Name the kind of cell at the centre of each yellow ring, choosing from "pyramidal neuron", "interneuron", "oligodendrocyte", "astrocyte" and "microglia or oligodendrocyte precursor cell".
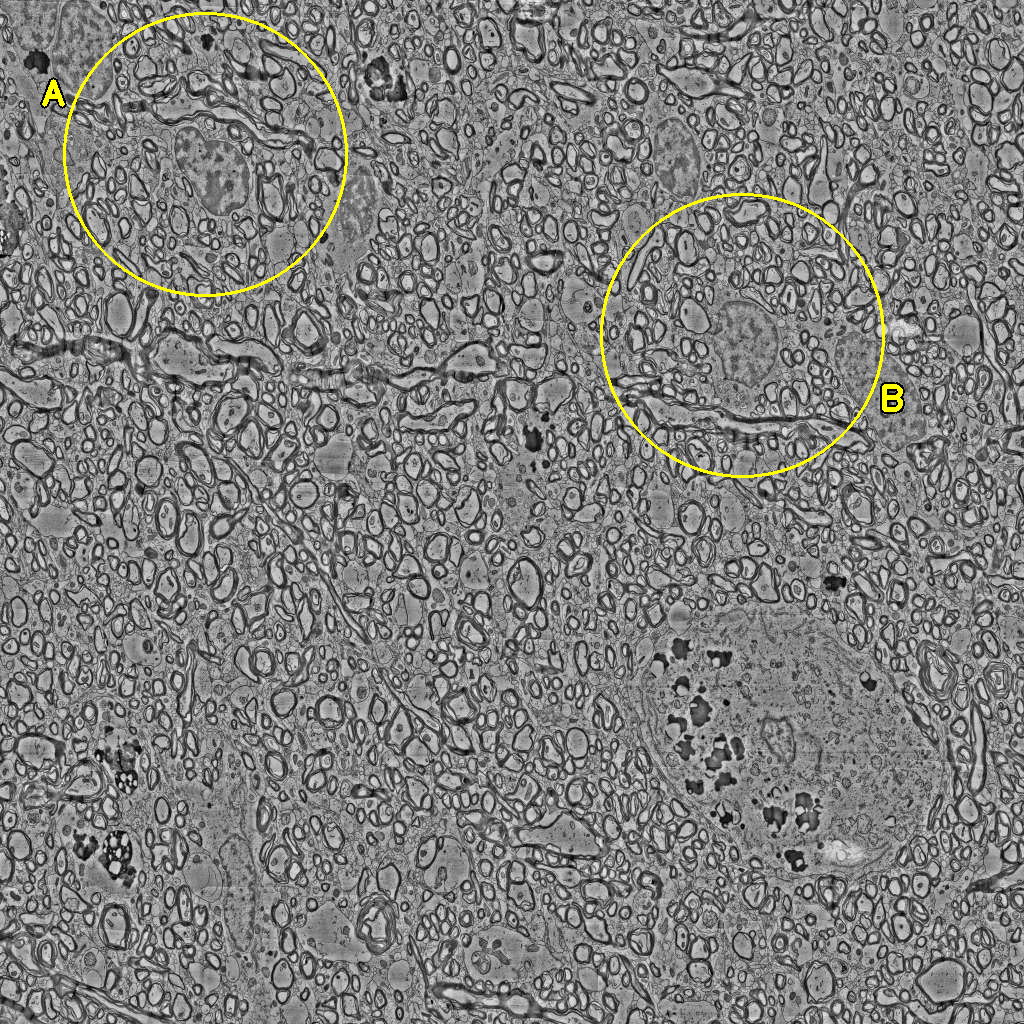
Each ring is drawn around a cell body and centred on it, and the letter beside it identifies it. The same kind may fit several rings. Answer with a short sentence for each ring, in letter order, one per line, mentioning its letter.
Ring A is drawn around a microglial cell or oligodendrocyte precursor cell.
Ring B is drawn around an oligodendrocyte.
